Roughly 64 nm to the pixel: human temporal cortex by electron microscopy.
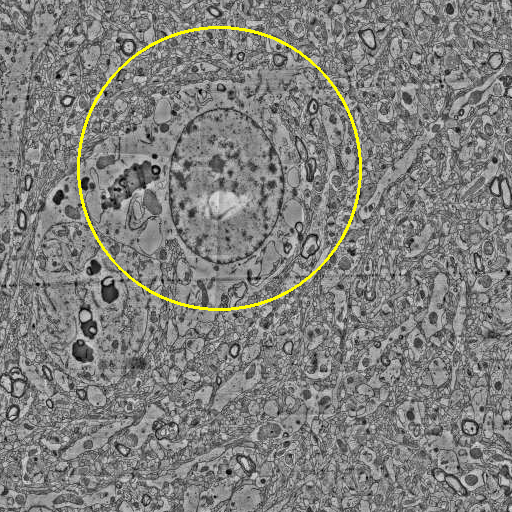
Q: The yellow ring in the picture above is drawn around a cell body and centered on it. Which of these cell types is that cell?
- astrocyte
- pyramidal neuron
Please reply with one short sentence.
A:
The cell body at the ring's center belongs to an astrocyte.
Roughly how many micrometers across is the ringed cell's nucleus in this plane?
In this plane the nucleus spans approximately 10 by 7 micrometers.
